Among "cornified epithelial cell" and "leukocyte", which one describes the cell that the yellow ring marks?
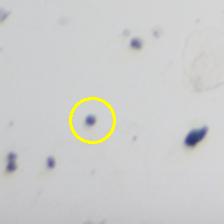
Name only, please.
leukocyte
